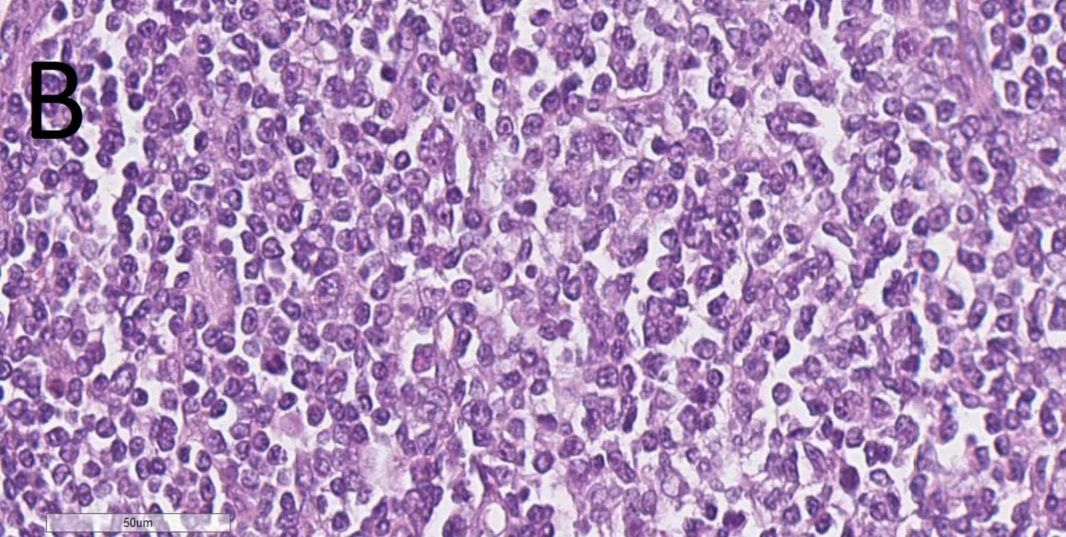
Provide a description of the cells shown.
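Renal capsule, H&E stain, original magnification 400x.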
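This high-power field shows a diffuse, densely packed sheet of lymphocytic cells in the kidney region. The cells are round to slightly oval with scant cytoplasm and round, darkly stained purple nuclei, some with slightly irregular contours. They lie closely side by side with narrow clear spaces between them and no organised architecture. Occasional paler cells and thin strands of pink stroma are scattered among them.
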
